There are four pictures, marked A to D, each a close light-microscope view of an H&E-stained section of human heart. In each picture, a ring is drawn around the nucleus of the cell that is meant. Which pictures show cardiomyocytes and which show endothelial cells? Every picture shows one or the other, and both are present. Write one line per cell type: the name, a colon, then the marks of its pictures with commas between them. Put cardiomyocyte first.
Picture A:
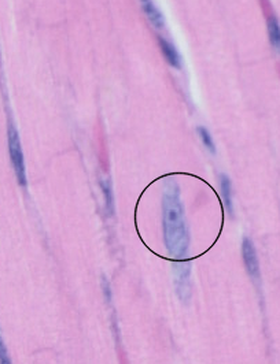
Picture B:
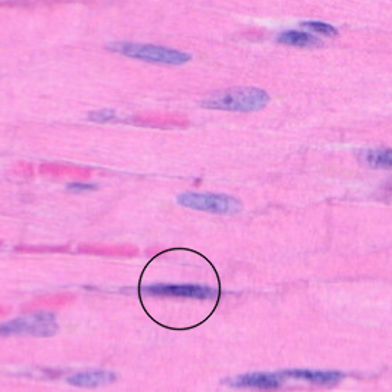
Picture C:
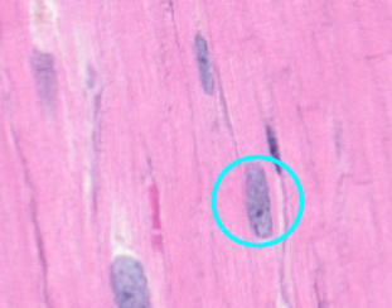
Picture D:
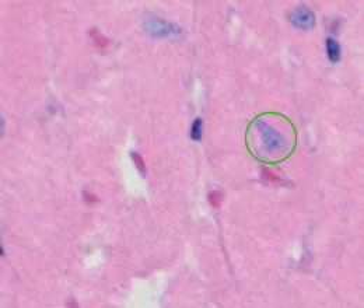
cardiomyocyte: A, C, D
endothelial cell: B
